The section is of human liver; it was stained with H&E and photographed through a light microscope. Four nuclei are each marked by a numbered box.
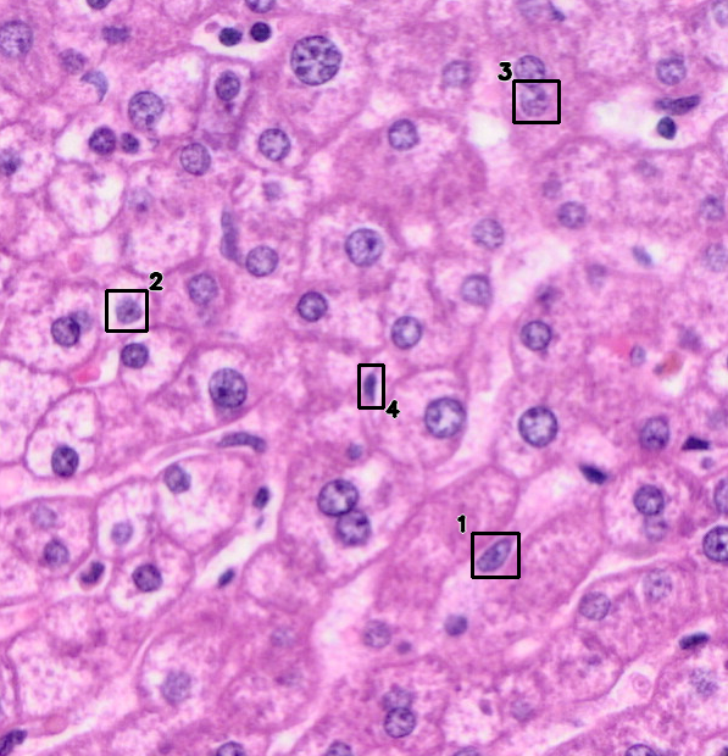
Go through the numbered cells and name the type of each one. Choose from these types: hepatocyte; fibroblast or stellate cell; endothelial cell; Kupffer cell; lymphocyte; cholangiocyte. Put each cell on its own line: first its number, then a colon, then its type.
1: Kupffer cell
2: hepatocyte
3: hepatocyte
4: lymphocyte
